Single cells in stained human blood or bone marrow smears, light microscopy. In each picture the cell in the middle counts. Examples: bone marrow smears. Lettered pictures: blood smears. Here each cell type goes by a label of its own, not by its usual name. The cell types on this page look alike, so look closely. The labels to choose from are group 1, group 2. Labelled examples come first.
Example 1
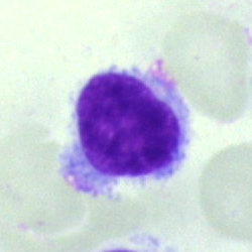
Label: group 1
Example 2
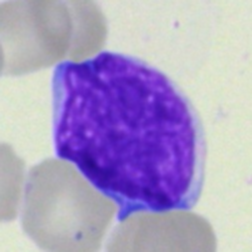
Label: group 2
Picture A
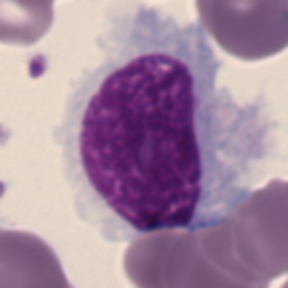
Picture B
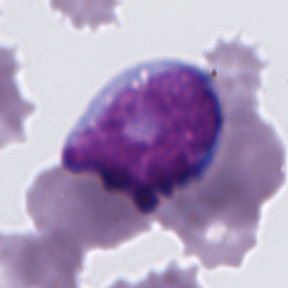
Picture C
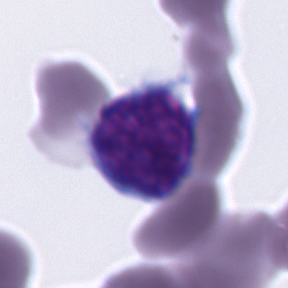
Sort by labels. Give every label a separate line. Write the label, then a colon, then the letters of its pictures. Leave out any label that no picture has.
group 1: A, C
group 2: B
